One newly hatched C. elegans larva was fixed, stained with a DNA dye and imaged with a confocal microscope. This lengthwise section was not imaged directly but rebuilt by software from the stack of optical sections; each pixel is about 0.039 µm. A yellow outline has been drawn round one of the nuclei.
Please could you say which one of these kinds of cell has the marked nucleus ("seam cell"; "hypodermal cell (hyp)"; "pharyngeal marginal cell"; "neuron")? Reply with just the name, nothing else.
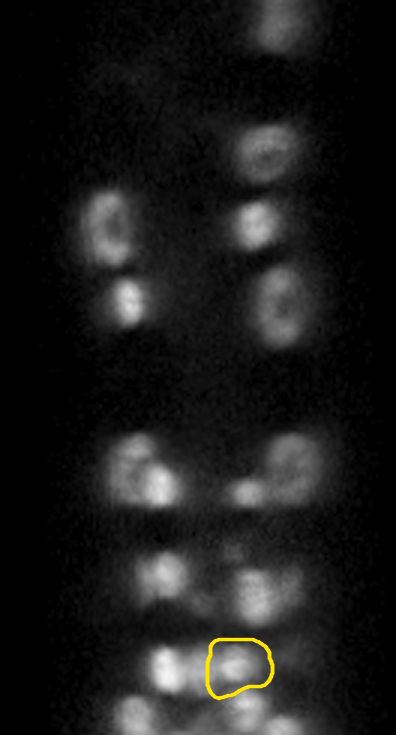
neuron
